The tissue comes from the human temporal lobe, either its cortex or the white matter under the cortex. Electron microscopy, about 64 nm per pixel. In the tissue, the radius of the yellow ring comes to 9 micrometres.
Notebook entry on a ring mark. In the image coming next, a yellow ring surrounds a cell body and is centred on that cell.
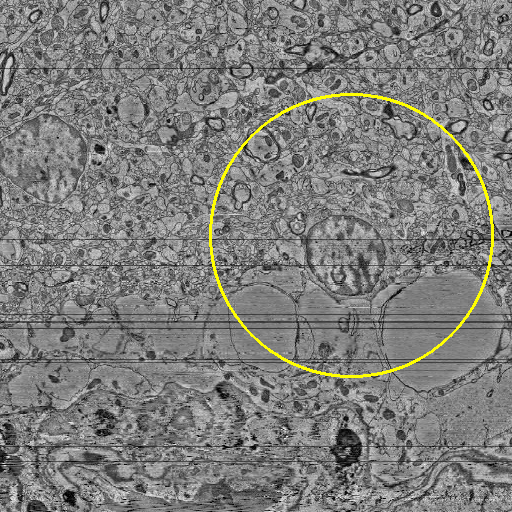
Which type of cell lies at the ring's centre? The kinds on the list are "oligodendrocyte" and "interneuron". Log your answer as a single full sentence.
Centred in the yellow ring is an oligodendrocyte, the cell recorded for this image.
